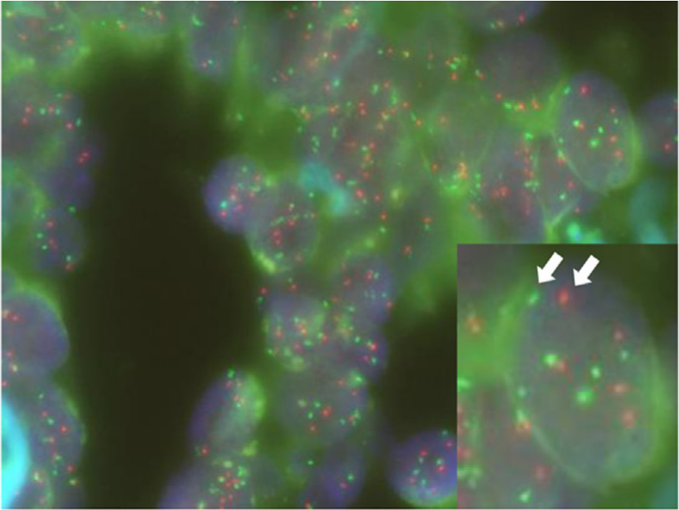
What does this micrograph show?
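Tumor cell nuclei, pale bluish and oval, crowd the field on either side of a broad dark cell-free space, with a stronger streaky green background between them. The nuclei are dotted with numerous small red and green spots, which appear more numerous per nucleus than a normal pair. The red and green dots remain separate and discrete rather than forming large clumps. The inset enlarges one large nucleus, where two white arrows point to a green dot and a red dot near its edge.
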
